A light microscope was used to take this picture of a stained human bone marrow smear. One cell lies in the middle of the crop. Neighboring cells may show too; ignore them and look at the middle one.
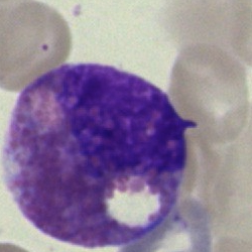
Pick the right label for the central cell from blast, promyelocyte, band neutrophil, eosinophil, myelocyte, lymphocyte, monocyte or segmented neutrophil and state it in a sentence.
The central element of this crop is a cell, namely an eosinophil.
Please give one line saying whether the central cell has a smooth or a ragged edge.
The boundary of the cell runs irregularly, ragged in parts or drawn into projections.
